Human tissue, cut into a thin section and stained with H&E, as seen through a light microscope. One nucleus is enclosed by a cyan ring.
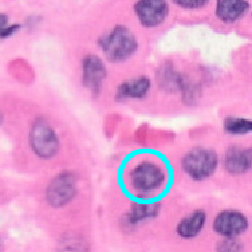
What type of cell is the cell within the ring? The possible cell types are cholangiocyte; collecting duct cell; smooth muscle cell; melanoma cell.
collecting duct cell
